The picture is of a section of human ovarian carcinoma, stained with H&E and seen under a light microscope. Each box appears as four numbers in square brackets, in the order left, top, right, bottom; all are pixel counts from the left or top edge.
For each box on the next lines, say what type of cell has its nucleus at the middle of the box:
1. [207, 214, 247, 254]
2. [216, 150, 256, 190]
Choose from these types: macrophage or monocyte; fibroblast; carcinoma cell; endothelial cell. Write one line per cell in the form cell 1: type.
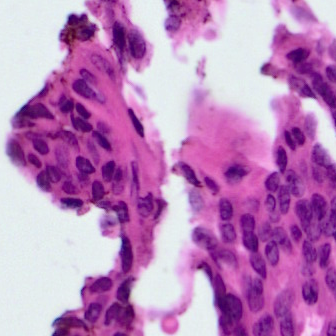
cell 1: carcinoma cell
cell 2: endothelial cell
